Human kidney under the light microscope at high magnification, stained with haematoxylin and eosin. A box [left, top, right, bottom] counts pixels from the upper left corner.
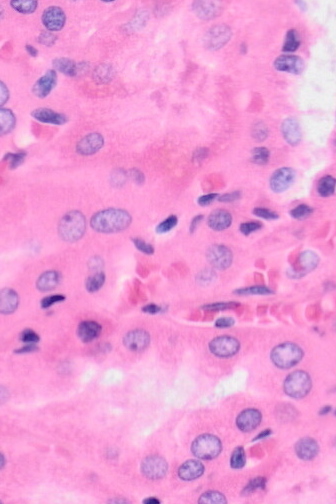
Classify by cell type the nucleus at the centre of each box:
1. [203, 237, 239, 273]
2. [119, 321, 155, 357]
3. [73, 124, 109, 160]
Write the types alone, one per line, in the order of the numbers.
loop of Henle or distal tubule cell
proximal tubule cell
proximal tubule cell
